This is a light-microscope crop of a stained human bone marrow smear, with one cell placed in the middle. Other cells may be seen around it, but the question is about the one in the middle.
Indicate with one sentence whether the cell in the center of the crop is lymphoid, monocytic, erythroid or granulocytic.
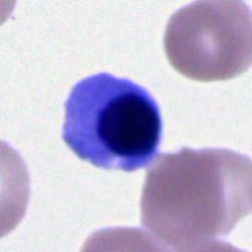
The cell occupying the middle of the crop is classified within the erythroid lineage.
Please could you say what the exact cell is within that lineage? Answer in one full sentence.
The cell at the heart of this crop is an erythroblast.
